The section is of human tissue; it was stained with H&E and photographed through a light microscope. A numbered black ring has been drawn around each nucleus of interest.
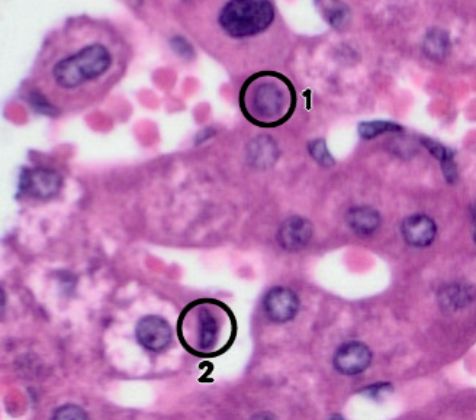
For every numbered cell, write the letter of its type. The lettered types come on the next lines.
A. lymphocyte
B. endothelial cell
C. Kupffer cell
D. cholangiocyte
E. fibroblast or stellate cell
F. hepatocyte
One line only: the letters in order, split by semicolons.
F; C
